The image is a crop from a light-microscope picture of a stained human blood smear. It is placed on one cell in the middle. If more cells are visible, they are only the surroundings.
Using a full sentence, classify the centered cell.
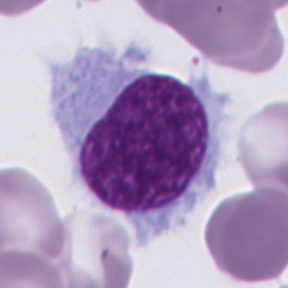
Positioned in the middle of the crop is a hairy cell.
